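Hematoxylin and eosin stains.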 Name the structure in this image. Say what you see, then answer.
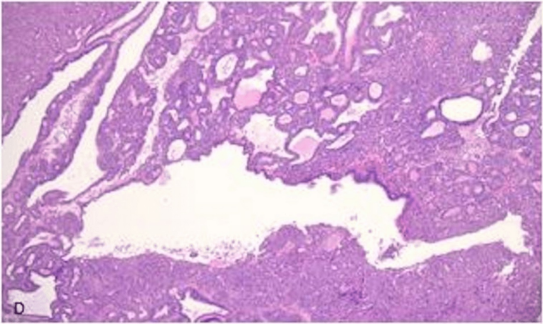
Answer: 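Macrocysts with papillary projections. A large irregular empty cystic space crosses the field. Elongated cystic spaces lie at the upper left. Epithelium protrudes into the cyst lumens.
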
